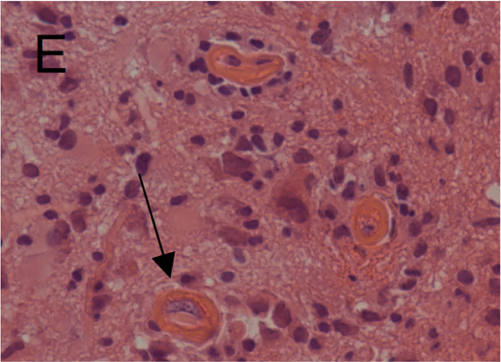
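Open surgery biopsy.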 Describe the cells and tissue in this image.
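Brain tissue with several small vessels whose walls are thickened and deeply pink, with narrowed lumens. Small dark nuclei lie close around the vessels. Between them lie larger cells with abundant pink cytoplasm and purple nuclei in a finely granular pink background.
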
